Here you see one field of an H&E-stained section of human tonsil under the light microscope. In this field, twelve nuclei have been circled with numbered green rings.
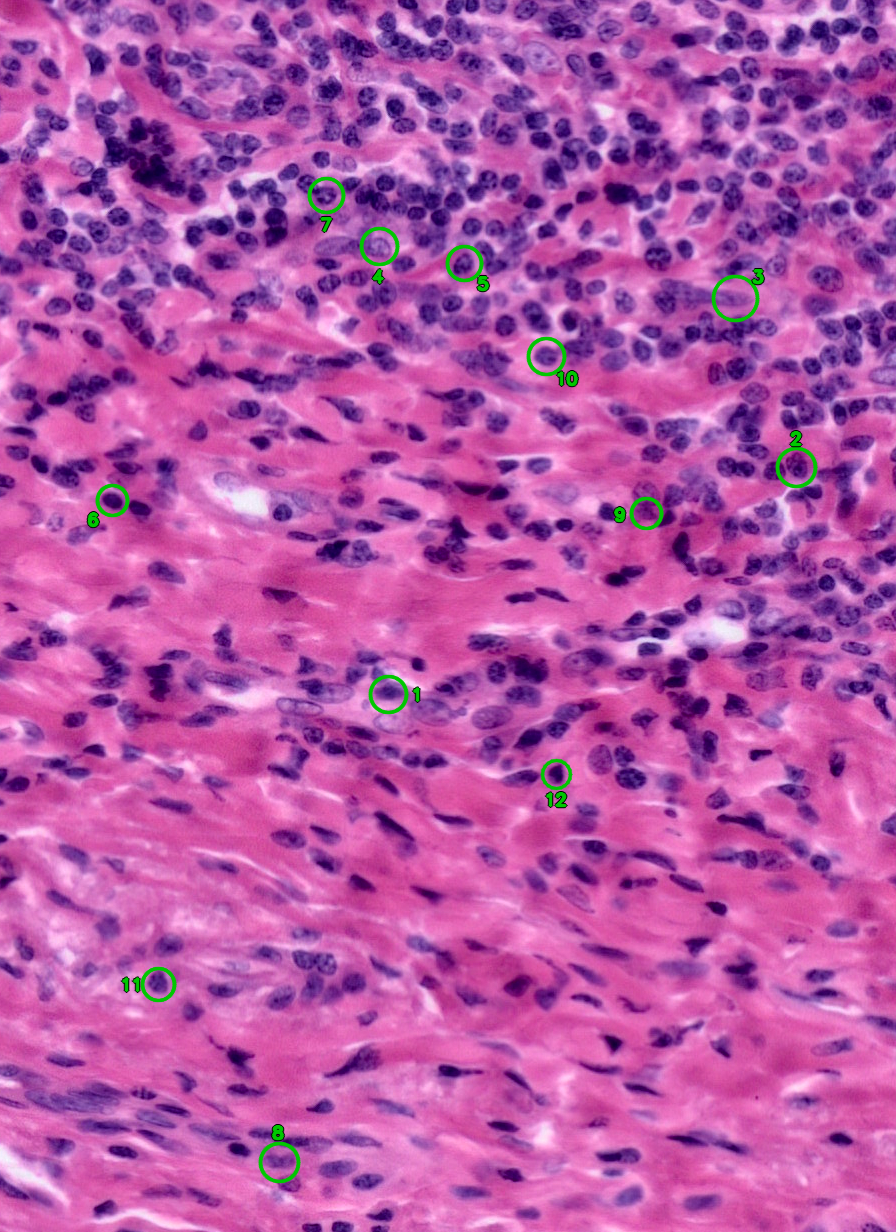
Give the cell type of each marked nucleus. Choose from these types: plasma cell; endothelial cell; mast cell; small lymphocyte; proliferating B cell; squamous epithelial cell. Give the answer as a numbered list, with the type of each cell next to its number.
1. endothelial cell
2. plasma cell
3. endothelial cell
4. endothelial cell
5. plasma cell
6. mast cell
7. plasma cell
8. endothelial cell
9. endothelial cell
10. mast cell
11. mast cell
12. mast cell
